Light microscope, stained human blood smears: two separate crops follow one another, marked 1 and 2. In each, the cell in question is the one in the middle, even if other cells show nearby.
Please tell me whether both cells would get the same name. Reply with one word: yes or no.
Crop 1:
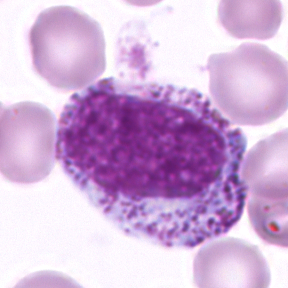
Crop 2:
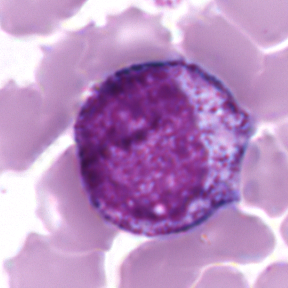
yes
